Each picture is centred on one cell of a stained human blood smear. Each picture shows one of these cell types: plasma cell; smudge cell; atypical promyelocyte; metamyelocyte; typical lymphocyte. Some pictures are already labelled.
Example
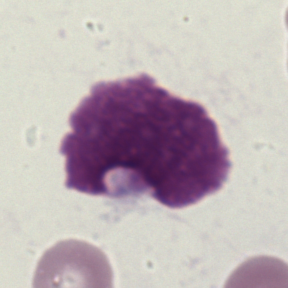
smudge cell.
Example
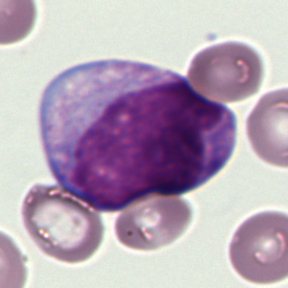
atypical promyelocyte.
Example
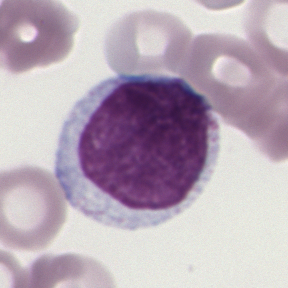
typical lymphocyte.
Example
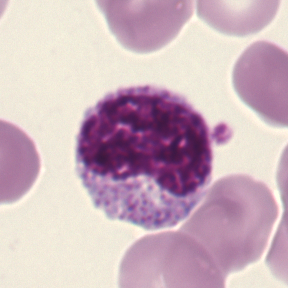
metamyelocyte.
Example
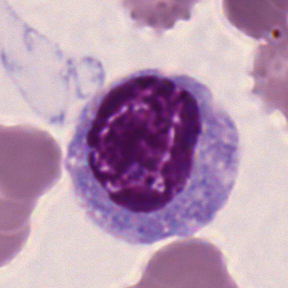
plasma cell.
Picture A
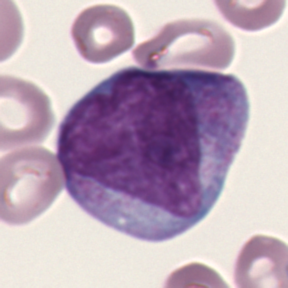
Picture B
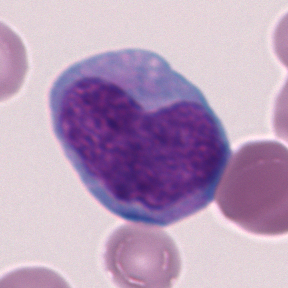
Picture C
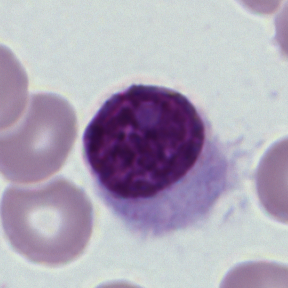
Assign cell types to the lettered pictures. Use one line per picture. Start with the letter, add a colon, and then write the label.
A: atypical promyelocyte.
B: atypical promyelocyte.
C: plasma cell.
